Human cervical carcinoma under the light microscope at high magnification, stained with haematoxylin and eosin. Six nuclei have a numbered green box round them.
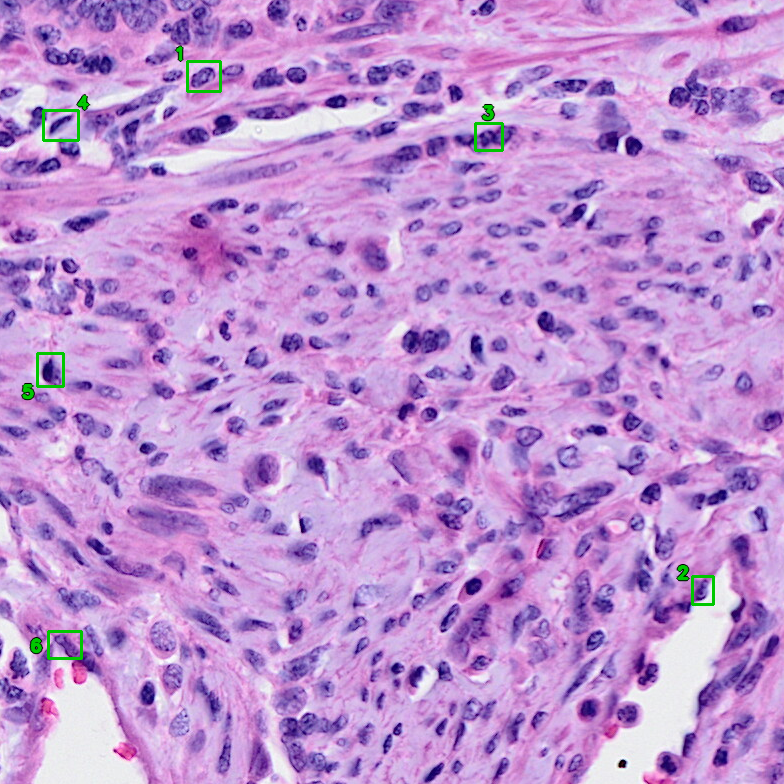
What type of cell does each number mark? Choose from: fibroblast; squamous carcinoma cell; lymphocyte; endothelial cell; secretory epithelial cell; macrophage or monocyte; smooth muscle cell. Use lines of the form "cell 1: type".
cell 1: lymphocyte
cell 2: endothelial cell
cell 3: lymphocyte
cell 4: lymphocyte
cell 5: lymphocyte
cell 6: endothelial cell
